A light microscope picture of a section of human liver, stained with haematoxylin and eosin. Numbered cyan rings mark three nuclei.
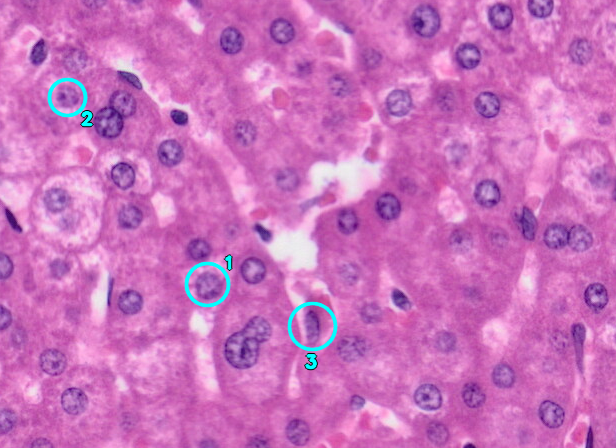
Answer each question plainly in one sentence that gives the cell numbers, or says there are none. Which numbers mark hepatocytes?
Cells 1 and 2 in the section are typed as hepatocytes.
